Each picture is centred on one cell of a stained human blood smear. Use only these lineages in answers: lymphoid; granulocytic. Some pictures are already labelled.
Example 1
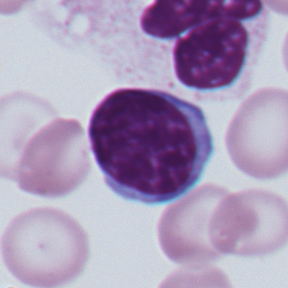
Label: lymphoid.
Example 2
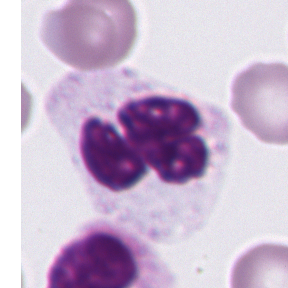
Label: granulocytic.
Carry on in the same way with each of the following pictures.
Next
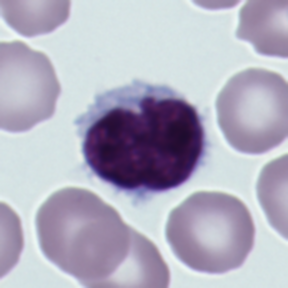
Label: lymphoid.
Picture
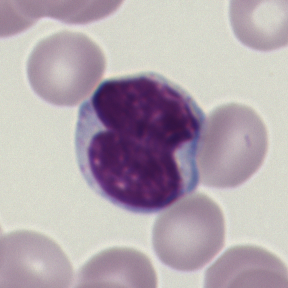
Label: lymphoid.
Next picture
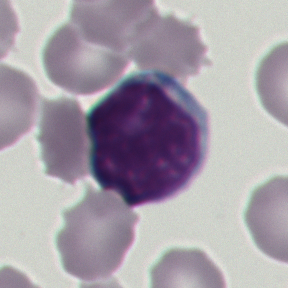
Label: lymphoid.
